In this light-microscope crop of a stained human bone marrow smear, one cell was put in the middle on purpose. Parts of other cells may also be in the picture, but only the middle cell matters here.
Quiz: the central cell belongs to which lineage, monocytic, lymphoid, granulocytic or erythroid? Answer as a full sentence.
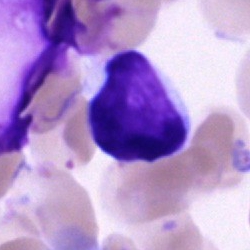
The cell occupying the center of the frame is part of the lymphoid lineage.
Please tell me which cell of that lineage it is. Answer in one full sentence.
Classified as a lymphocyte is the cell in the middle of this crop.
